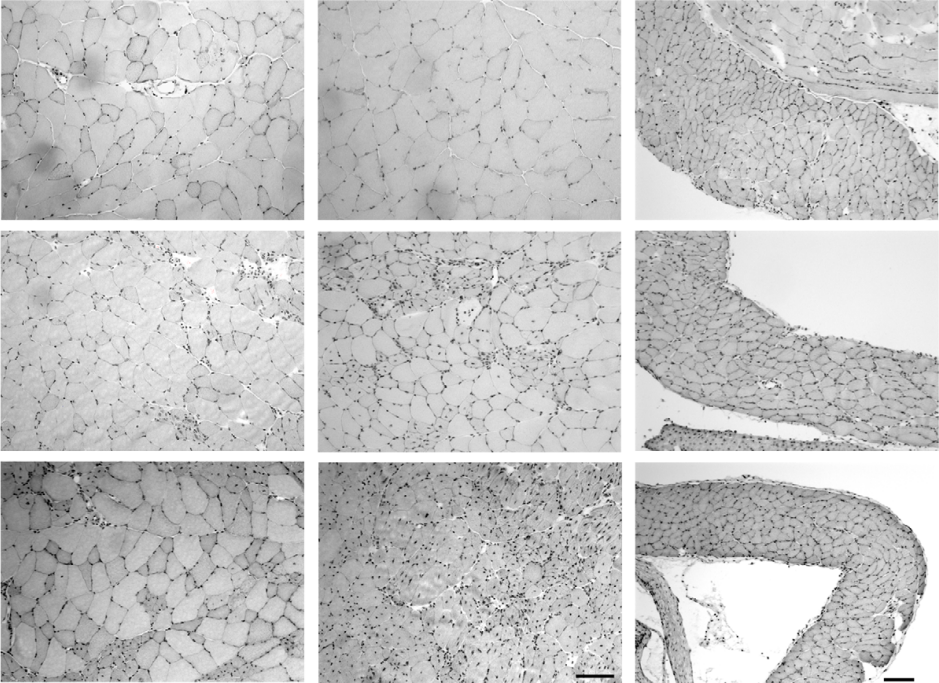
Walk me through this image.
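Cross-sections of skeletal muscle in a grid of nine fields, showing polygonal muscle fibers with pale cytoplasm and dark nuclei. In some fields the fibers are closely packed and fairly uniform, with nuclei only at their rims. In other fields the fibers vary more in size and are rounder, and many dark nuclei sit in their interior. These centrally nucleated fibers lie in groups, and the small nuclei between fibers are more numerous there. The right-hand column shows thin sheets of smaller fibers cut across, with nuclei at the fiber edges. There are no broad bands of connective tissue between the fibers.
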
